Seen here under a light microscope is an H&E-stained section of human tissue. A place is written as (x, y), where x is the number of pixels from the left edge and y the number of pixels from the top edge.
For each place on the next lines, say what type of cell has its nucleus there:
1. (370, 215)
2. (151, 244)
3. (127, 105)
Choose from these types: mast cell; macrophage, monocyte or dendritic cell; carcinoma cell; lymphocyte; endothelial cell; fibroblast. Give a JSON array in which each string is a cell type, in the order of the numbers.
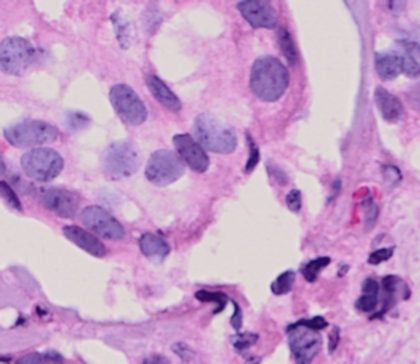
["endothelial cell", "carcinoma cell", "carcinoma cell"]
